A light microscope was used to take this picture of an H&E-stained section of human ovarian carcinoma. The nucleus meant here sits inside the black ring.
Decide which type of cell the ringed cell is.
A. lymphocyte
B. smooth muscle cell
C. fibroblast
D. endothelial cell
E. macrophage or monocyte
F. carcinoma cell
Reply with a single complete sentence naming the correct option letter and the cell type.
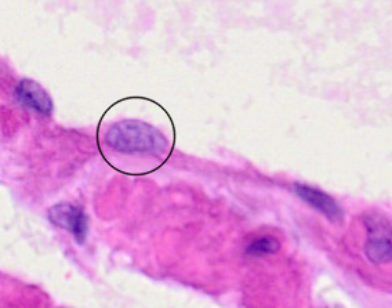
What option D states, that the ringed cell is an endothelial cell, is correct.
